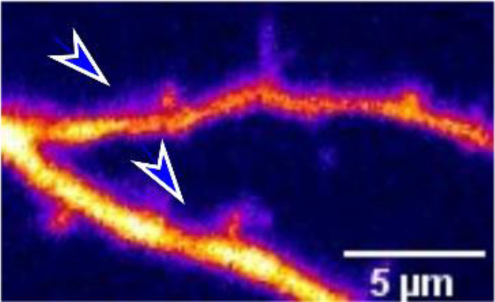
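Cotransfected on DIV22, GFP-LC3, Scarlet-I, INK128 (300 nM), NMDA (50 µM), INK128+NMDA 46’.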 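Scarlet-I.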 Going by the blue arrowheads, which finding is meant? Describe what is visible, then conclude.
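Pruning. At the arrowheads the dendrite shaft is smooth with no protrusion.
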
